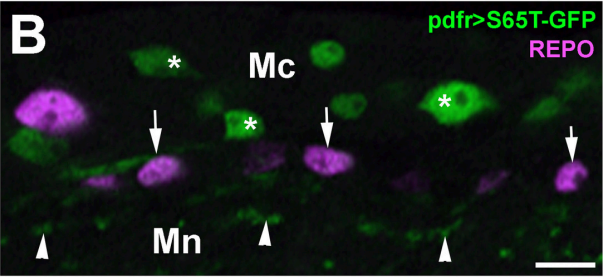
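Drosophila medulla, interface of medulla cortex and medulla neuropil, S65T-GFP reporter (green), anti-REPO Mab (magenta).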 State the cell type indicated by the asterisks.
Neurons.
